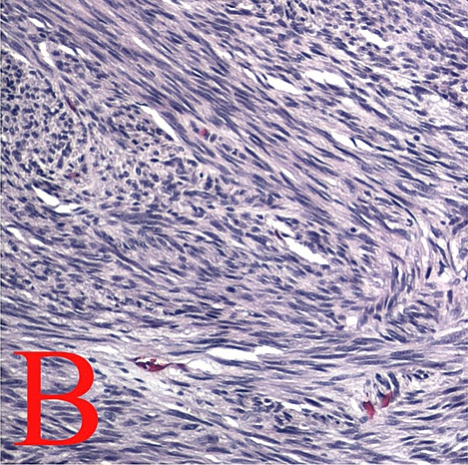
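Here a tumor made of densely packed spindle-shaped cells is seen. The nuclei are elongated, cigar-like or tapering, dark purple, and lie parallel to one another within sweeping fascicles that intersect and swirl in different directions. The cytoplasm is pale pink and fibrillary, with cell borders hard to make out. In one area at the left the nuclei are more crowded and plumper. Small slit-like clear spaces and a few thin vessels holding red blood cells run between the bundles. No normal organized tissue layers are left in this field; the picture is that of neoplastic spindle cells growing in a fascicular pattern.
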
